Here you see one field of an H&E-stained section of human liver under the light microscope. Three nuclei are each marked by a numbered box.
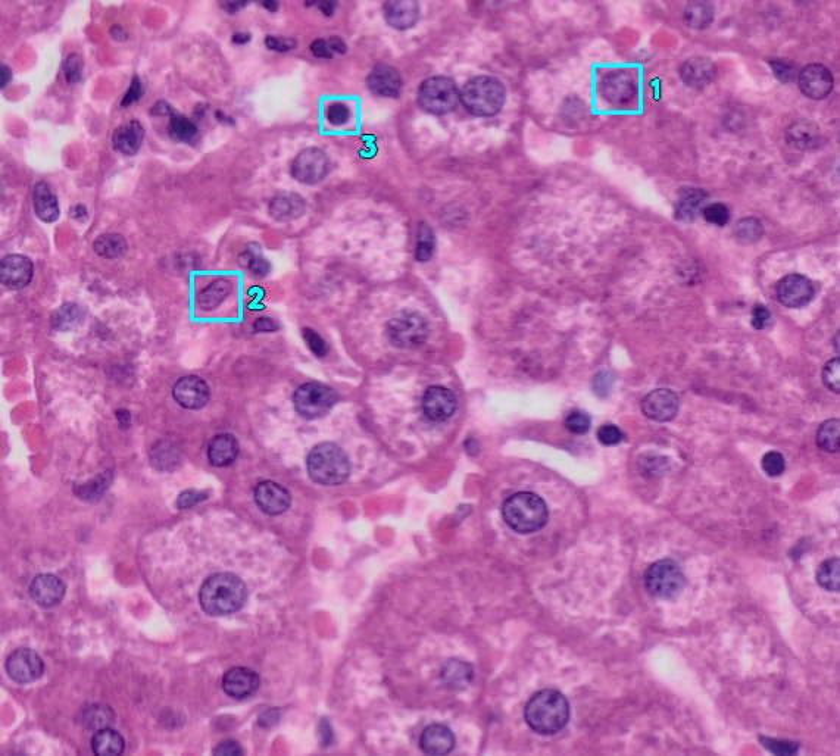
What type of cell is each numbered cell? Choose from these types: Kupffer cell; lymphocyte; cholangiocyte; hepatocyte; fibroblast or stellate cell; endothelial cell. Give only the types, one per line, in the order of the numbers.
hepatocyte
Kupffer cell
lymphocyte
